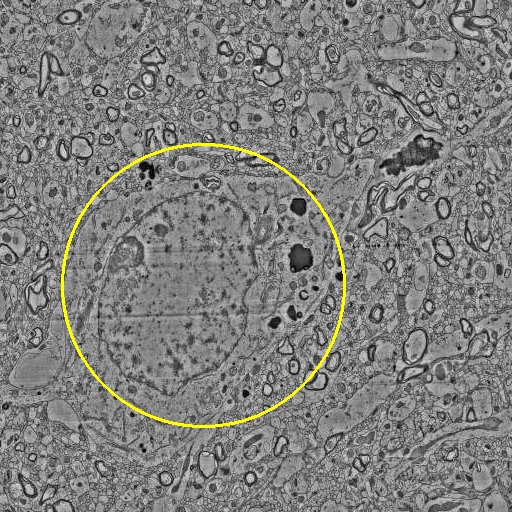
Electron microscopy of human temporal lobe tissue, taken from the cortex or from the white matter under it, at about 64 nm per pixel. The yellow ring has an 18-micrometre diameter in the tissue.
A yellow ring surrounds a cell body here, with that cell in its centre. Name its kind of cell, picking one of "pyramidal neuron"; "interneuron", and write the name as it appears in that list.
interneuron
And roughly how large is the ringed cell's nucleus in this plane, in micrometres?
In this plane the nucleus measures roughly 13 by 10 micrometers.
